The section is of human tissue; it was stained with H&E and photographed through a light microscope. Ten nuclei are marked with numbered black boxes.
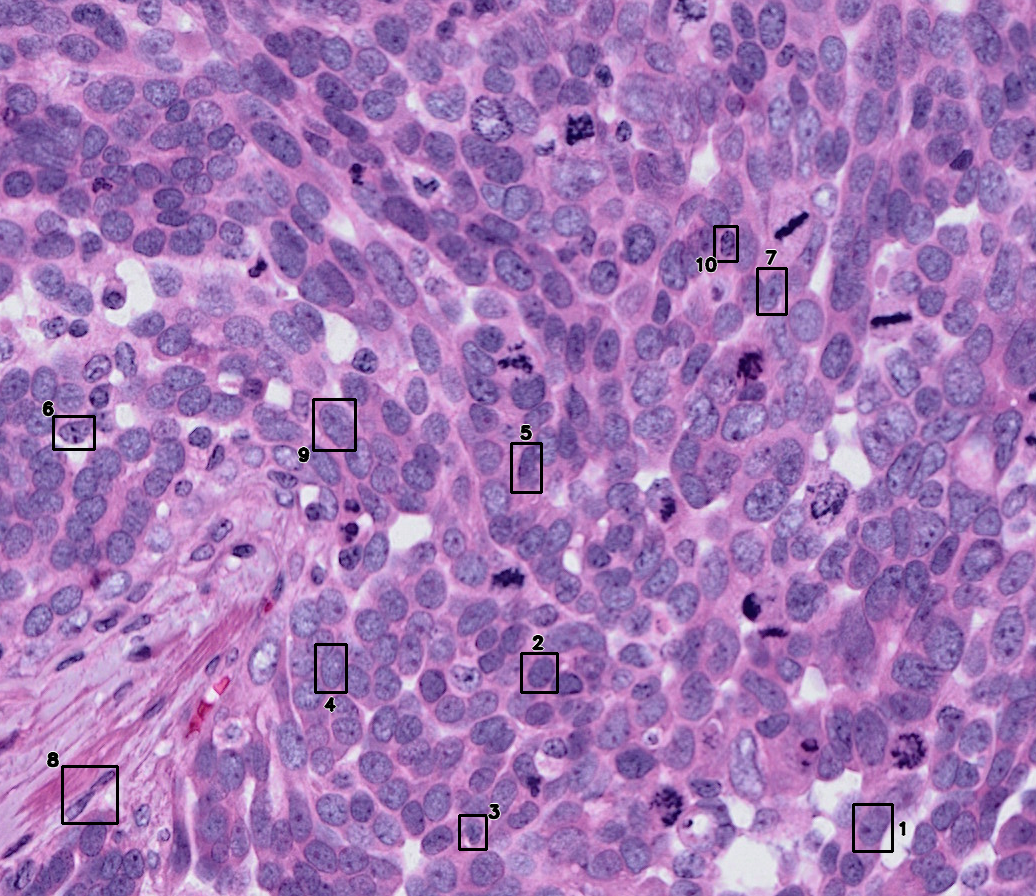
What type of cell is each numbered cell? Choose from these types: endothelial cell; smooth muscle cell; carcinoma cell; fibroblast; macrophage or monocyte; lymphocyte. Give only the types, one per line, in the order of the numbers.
carcinoma cell
carcinoma cell
macrophage or monocyte
carcinoma cell
carcinoma cell
macrophage or monocyte
carcinoma cell
fibroblast
carcinoma cell
lymphocyte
